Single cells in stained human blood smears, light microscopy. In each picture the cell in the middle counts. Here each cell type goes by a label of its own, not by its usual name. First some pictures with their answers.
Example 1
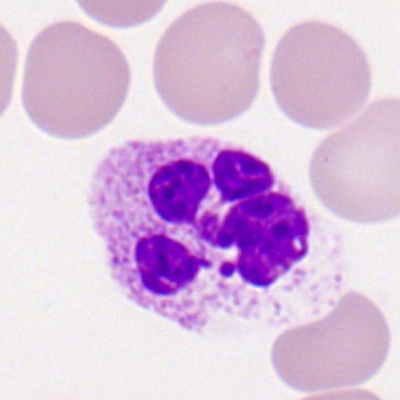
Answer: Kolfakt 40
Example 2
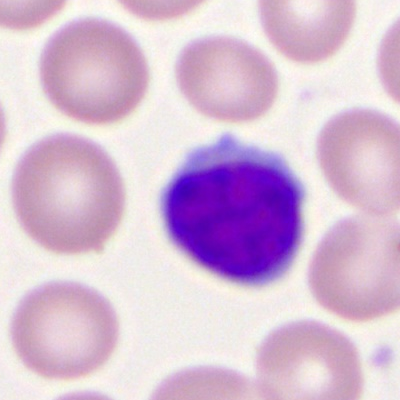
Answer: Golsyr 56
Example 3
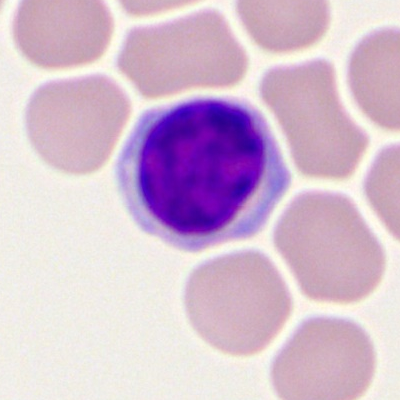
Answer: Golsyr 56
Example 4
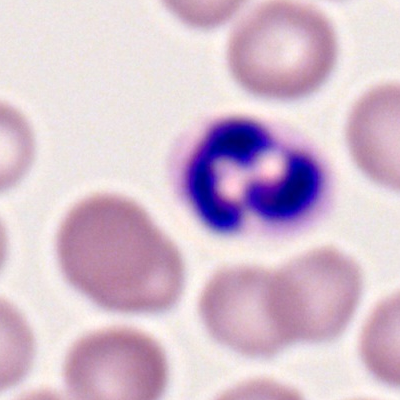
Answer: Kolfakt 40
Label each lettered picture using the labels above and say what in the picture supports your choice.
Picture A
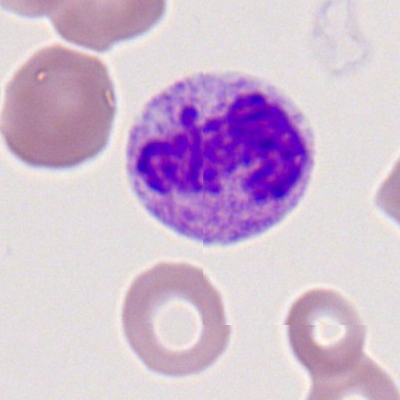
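Kolfakt 40. The nucleus is divided into several connected lobes and clumps.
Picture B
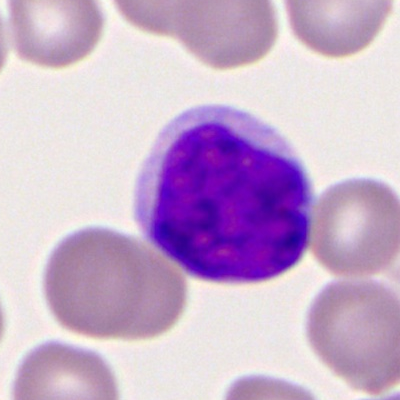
Golsyr 56. The cytoplasm forms only a thin rim around the nucleus.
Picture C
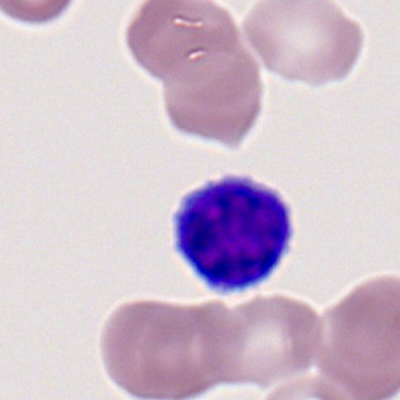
Golsyr 56. Cytoplasm is scant, at most a thin rim at the cell edge.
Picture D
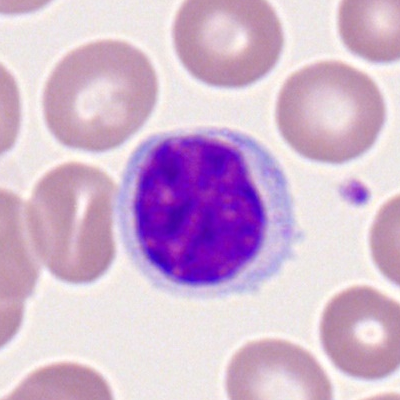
Golsyr 56. The nucleus fills most of the cell.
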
